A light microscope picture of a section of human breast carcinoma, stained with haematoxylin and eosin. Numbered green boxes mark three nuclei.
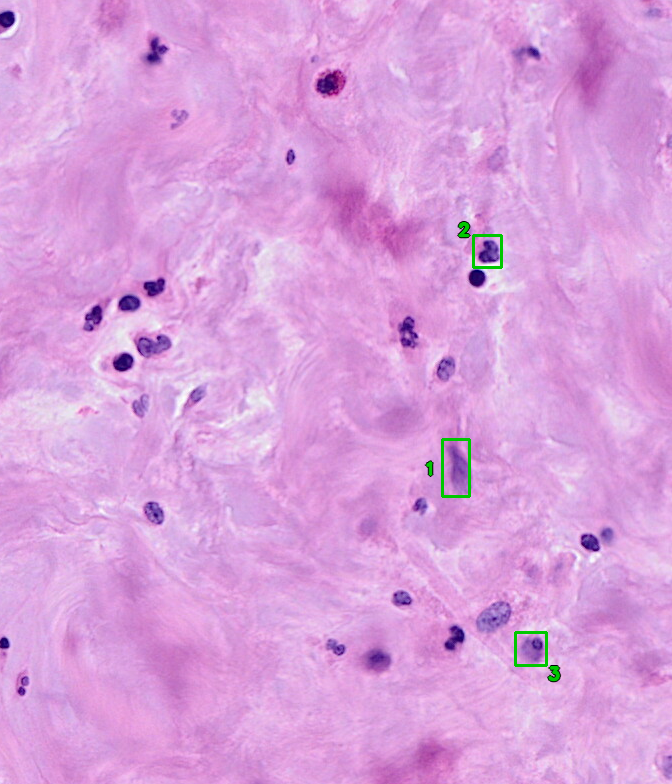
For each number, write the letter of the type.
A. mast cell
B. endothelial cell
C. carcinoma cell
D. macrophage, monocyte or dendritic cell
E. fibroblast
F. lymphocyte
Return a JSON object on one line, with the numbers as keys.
{"1": "E", "2": "F", "3": "D"}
